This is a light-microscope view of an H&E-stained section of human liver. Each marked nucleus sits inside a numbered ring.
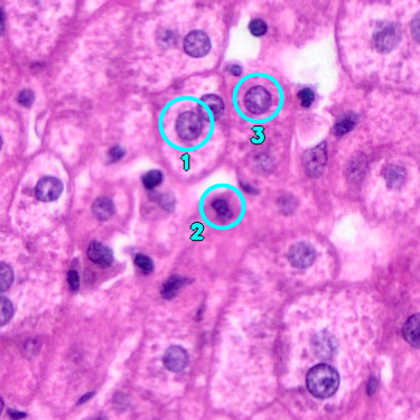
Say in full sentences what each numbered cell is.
Cells 1 and 3 are hepatocytes. Cell 2 is a Kupffer cell.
